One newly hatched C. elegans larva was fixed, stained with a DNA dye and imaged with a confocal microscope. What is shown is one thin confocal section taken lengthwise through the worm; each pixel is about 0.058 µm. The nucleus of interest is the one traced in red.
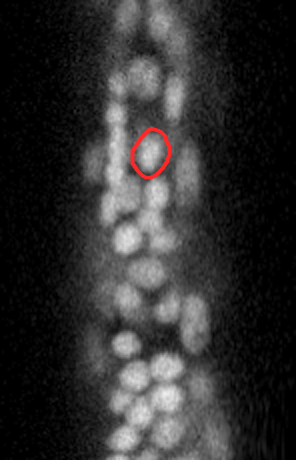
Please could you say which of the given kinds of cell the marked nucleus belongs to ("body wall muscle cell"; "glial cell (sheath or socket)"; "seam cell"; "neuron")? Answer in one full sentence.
It belongs to a glial cell (sheath or socket).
